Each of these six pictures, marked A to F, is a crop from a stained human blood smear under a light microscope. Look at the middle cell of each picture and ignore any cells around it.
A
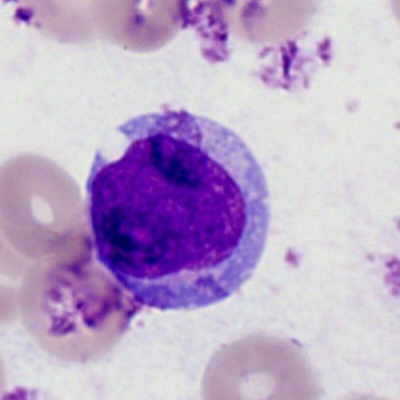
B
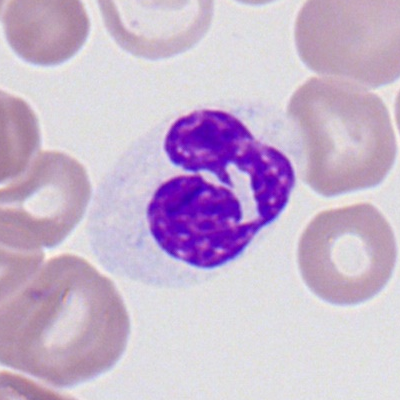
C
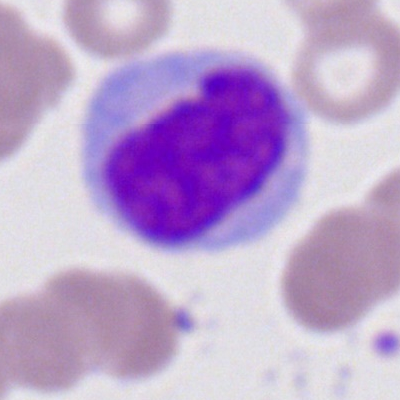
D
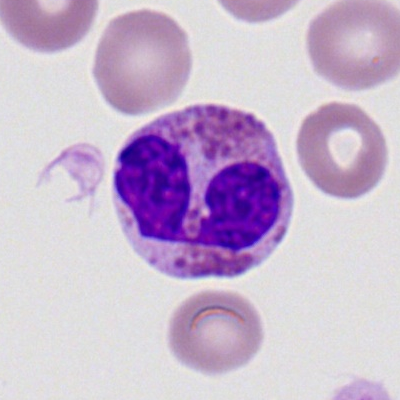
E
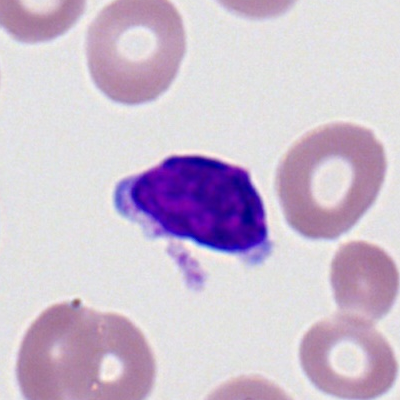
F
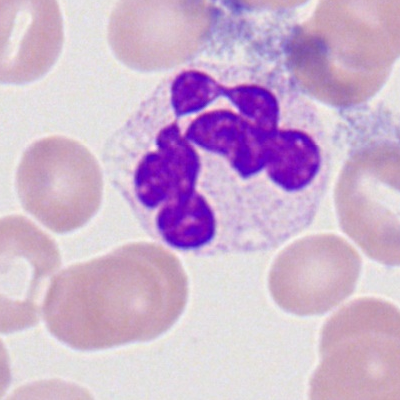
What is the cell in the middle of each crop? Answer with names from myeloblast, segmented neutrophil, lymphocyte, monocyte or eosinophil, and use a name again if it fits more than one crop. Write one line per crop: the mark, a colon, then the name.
A: myeloblast
B: segmented neutrophil
C: monocyte
D: eosinophil
E: lymphocyte
F: segmented neutrophil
